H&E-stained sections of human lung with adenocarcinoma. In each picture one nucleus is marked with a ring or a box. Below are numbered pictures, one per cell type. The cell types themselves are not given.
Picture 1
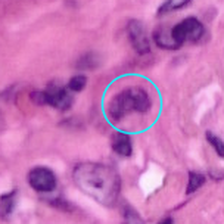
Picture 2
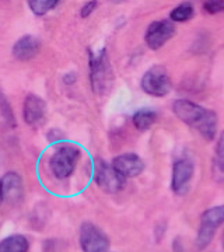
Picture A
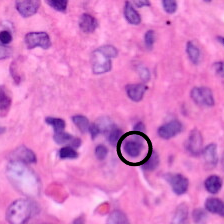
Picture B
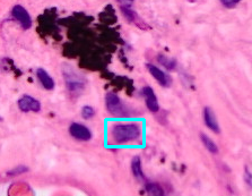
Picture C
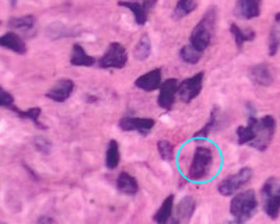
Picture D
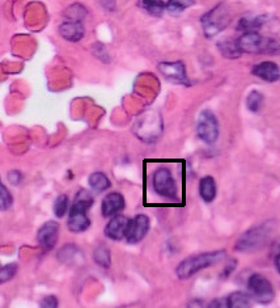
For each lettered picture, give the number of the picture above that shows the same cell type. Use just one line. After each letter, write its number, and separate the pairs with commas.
A 2, B 1, C 1, D 1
